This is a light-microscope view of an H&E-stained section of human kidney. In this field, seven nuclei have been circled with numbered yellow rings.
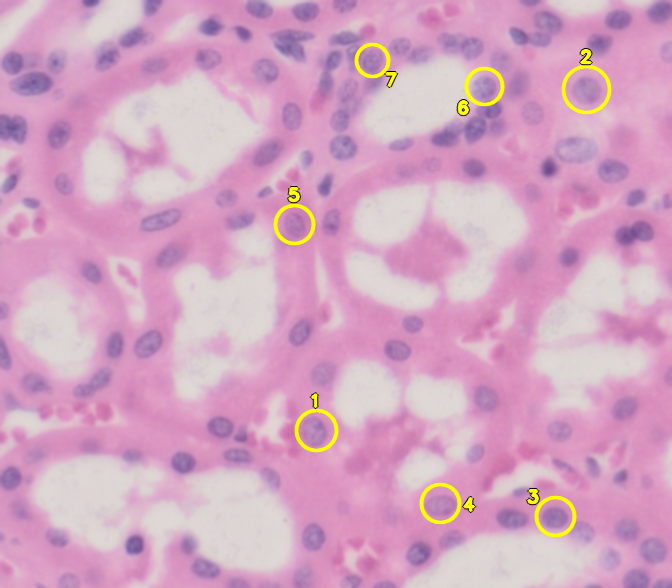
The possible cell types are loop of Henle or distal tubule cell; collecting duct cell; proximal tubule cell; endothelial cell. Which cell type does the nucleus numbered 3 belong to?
loop of Henle or distal tubule cell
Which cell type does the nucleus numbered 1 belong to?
proximal tubule cell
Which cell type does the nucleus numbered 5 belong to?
proximal tubule cell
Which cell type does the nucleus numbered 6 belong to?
collecting duct cell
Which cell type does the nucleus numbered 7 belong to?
collecting duct cell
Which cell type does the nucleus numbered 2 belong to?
proximal tubule cell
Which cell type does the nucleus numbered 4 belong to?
proximal tubule cell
